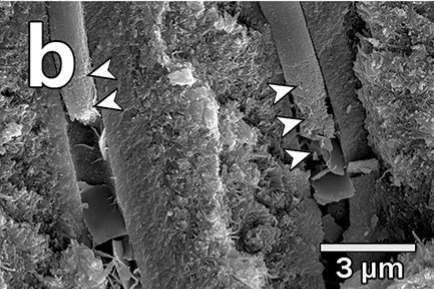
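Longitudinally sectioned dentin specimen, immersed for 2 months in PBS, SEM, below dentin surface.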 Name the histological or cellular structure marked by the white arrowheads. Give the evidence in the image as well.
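Solid material fills the channels at the marked places. Angular blocky deposits sit within the long grooves. On this evidence: Plug-shaped precipitate.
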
